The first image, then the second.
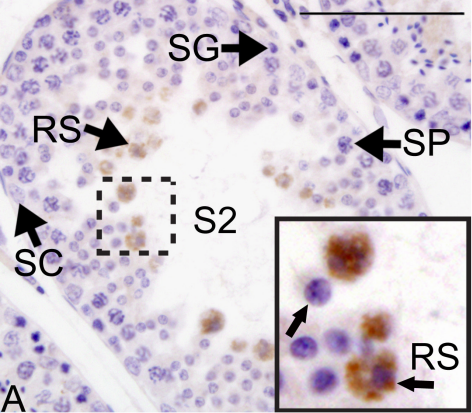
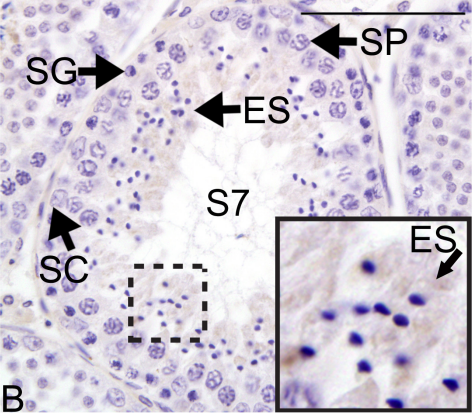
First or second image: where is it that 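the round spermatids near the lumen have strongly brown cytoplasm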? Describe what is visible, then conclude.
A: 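Second image: cells near the lumen are blue with little or no brown colour. First image: clusters of round cells near the lumen show dark brown cytoplasm. On this evidence: the first image.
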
